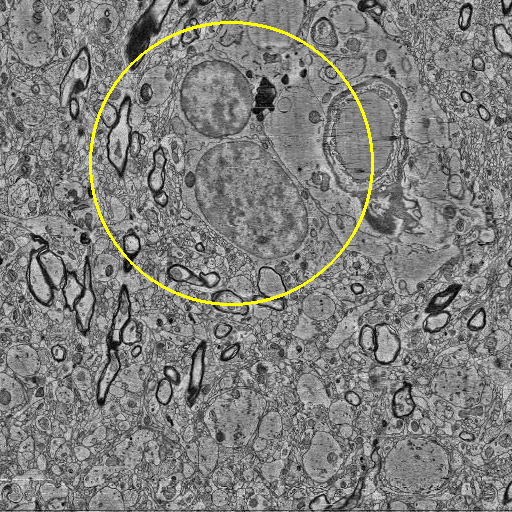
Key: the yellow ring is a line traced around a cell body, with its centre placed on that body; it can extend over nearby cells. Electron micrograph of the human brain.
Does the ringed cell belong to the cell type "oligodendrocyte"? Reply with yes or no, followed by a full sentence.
Yes, the cell at the centre of the yellow ring in the picture is of that type.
